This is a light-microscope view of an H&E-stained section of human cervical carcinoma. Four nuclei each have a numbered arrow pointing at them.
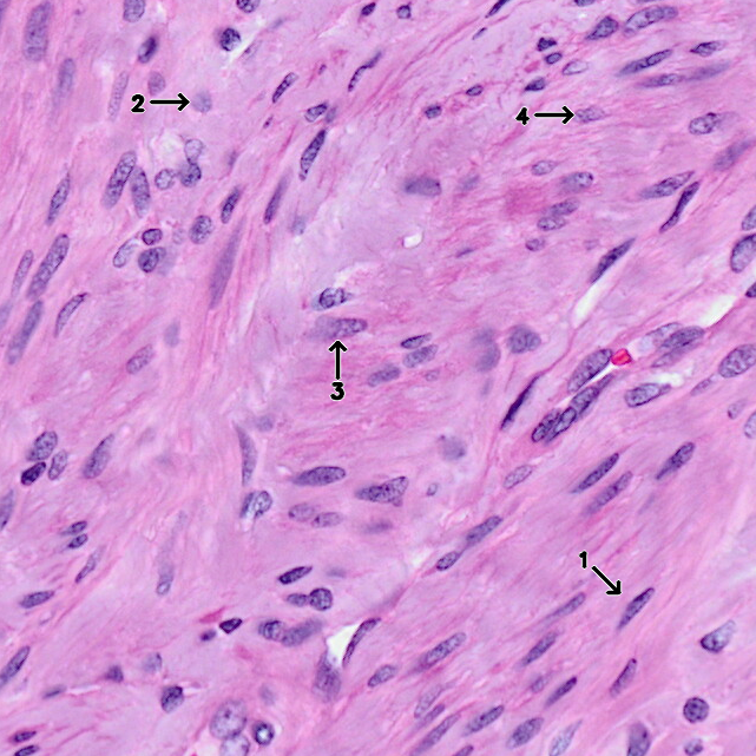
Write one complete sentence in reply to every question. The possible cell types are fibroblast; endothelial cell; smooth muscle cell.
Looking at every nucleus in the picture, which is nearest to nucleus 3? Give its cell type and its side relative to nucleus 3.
The nearest one is a fibroblast, found above nucleus 3.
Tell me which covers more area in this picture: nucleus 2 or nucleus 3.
Number 3 is larger; its area is about 2.5 times that of number 2.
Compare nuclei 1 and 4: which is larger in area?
Of the two, number 1 is bigger and takes up about 1.5 times the area of number 4.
